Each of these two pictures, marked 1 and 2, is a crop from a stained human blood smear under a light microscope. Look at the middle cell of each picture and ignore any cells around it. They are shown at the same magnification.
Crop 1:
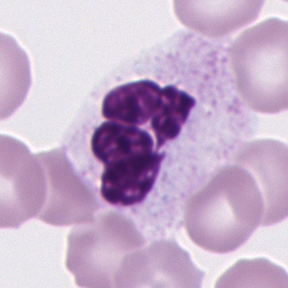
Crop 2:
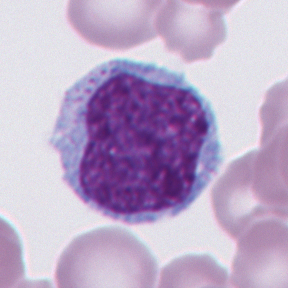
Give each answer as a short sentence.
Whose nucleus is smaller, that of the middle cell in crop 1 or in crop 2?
The nucleus in crop 1 is smaller; the one in crop 2 has about 2 times its area.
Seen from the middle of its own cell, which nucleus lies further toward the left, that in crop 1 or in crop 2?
In crop 1 the nucleus is shifted more toward the left.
